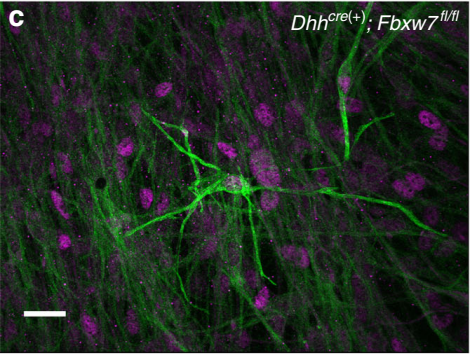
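At the centre one strongly green cell has a cell body from which numerous thin processes radiate in many directions and branch repeatedly, unlike the usual elongated two-ended shape. Nearby, another green cell is elongated along the fibres.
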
